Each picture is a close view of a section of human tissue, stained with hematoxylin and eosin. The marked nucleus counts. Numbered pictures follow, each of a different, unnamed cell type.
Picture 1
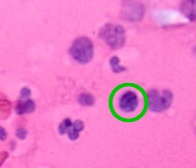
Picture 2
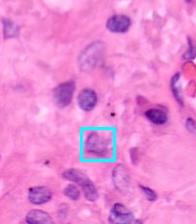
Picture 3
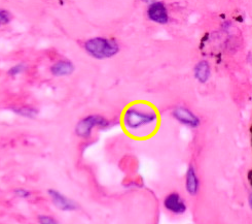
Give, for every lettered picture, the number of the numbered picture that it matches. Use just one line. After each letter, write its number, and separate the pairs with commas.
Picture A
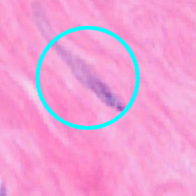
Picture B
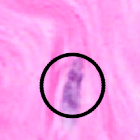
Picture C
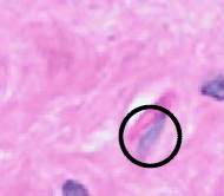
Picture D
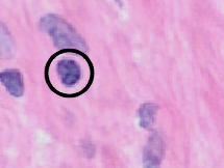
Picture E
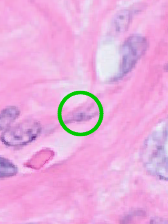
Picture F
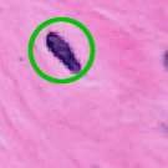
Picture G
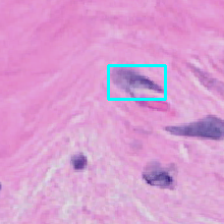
A 2, B 2, C 3, D 1, E 3, F 1, G 3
